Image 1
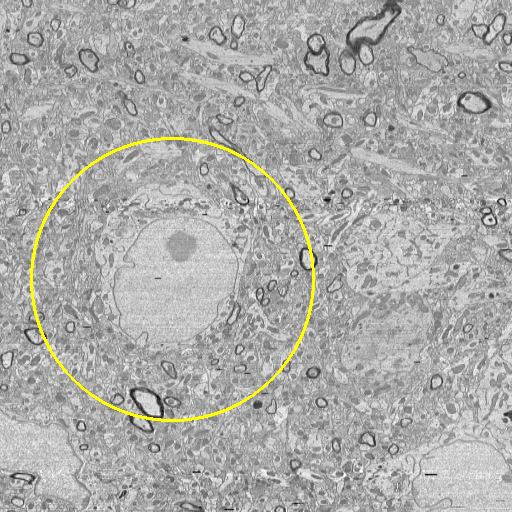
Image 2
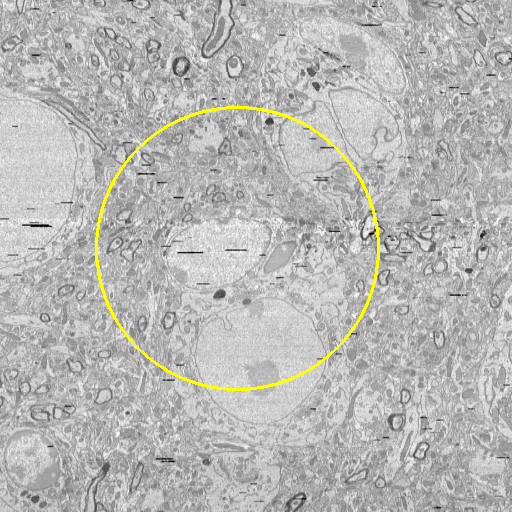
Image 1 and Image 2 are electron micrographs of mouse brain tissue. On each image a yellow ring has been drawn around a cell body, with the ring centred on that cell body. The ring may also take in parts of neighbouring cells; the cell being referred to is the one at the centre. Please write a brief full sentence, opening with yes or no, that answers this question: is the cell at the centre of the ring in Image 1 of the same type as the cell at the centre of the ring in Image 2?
No, the two cells are of two types.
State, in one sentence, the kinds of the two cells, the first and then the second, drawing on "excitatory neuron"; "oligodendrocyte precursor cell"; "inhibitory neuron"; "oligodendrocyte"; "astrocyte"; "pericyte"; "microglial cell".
The ring in the second picture is centred on an astrocyte, the ring in the first on an excitatory neuron.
